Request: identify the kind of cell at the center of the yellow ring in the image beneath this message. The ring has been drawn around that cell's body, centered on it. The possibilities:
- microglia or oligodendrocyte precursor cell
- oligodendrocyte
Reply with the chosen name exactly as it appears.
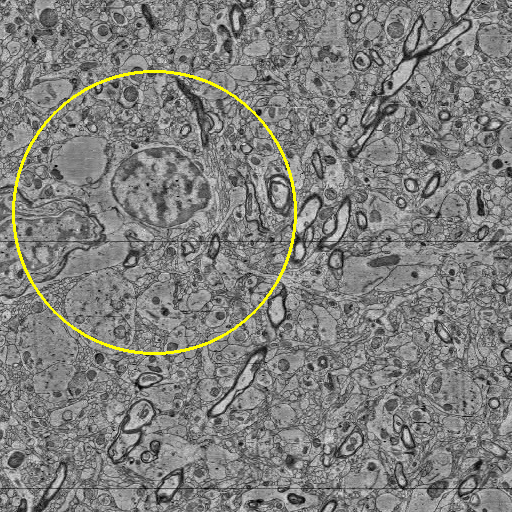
microglia or oligodendrocyte precursor cell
